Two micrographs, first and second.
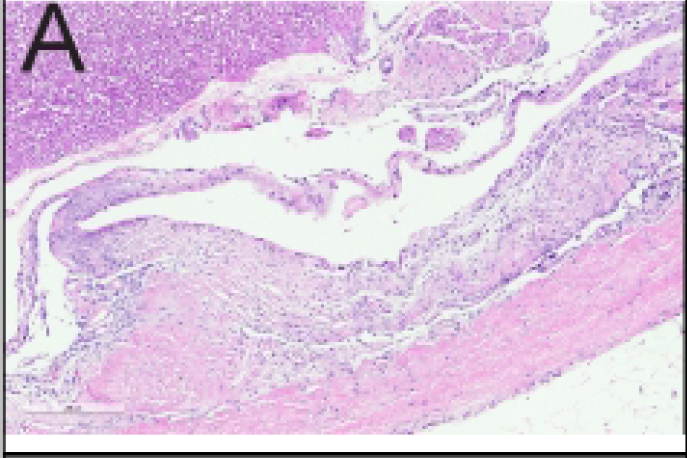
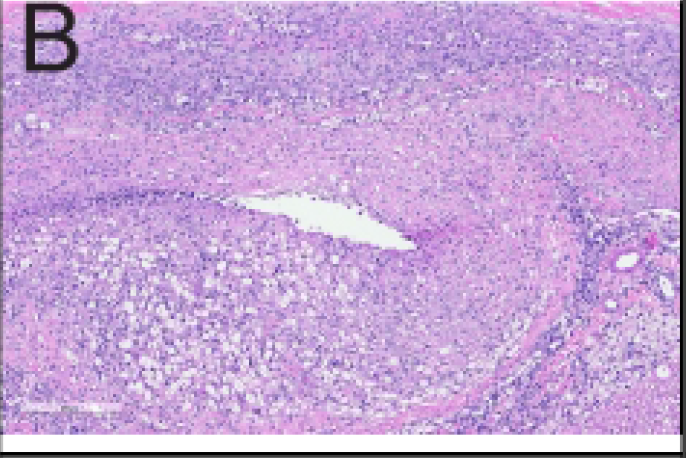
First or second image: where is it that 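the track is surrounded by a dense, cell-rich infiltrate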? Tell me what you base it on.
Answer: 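Second image: a slit-like lumen is ringed by thick layers of densely packed purple nuclei.
Answer: the second image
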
